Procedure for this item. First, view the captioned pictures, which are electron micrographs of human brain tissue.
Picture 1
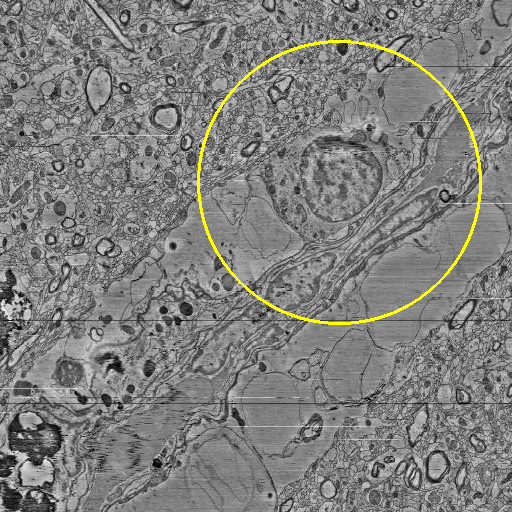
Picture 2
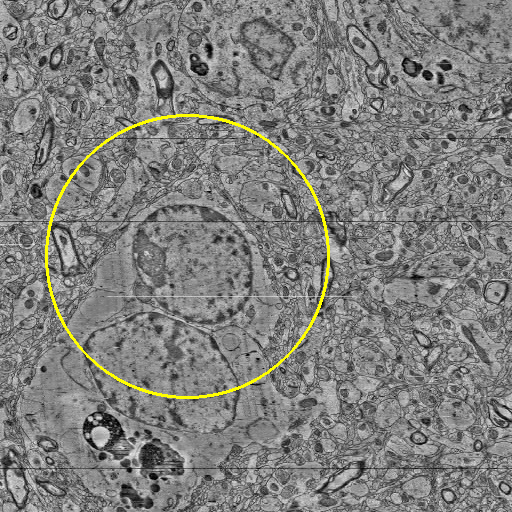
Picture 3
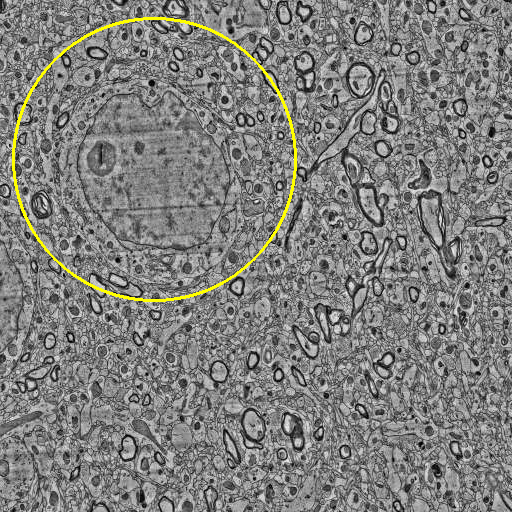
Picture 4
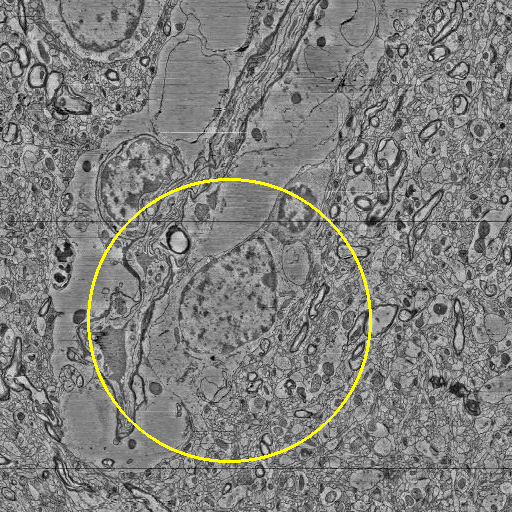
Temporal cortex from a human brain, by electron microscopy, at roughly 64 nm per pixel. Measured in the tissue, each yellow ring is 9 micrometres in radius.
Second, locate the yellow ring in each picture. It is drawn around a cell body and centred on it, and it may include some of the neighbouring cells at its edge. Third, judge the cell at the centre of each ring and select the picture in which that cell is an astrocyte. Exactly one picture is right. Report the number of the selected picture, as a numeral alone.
2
